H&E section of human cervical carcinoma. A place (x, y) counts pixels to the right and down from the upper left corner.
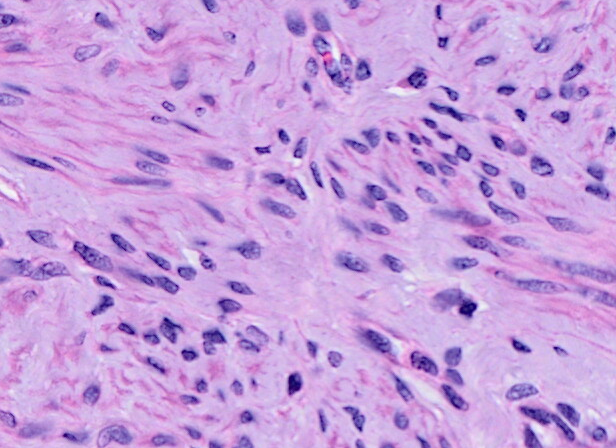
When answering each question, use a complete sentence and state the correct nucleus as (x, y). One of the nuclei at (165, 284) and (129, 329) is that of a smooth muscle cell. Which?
Among the two, the nucleus at (129, 329) is the nucleus of a smooth muscle cell.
